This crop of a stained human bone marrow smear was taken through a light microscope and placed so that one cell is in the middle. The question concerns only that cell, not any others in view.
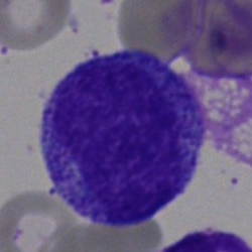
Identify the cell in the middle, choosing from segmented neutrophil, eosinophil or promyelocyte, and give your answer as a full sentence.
In short, the cell at the center is a promyelocyte.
